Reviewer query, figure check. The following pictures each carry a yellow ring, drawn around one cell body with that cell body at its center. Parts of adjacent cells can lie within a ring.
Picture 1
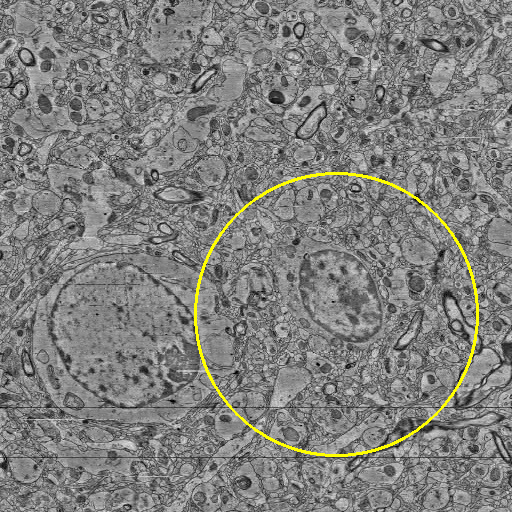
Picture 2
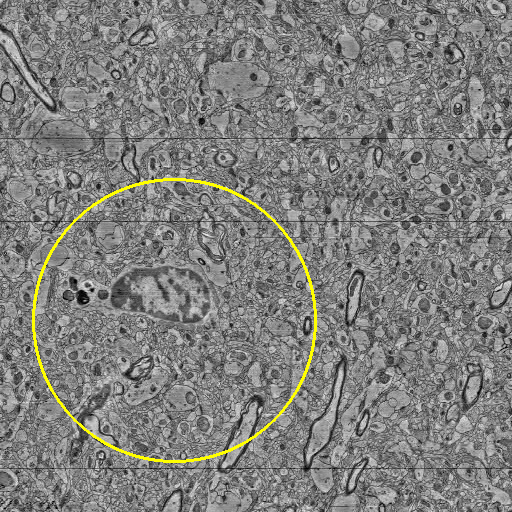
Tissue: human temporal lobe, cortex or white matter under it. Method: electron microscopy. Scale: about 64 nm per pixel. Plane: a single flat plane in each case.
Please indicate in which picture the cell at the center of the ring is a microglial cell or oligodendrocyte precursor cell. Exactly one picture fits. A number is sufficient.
2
